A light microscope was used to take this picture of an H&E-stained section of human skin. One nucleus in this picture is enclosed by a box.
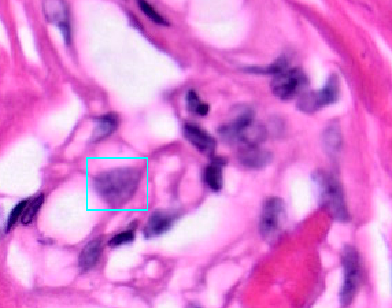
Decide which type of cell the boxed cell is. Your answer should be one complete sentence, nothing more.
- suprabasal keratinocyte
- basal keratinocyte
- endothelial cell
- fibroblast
In this section of tissue, the boxed cell is an endothelial cell.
